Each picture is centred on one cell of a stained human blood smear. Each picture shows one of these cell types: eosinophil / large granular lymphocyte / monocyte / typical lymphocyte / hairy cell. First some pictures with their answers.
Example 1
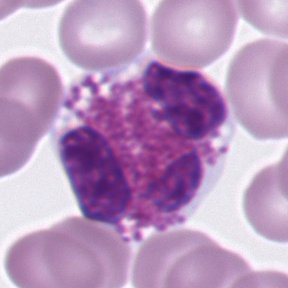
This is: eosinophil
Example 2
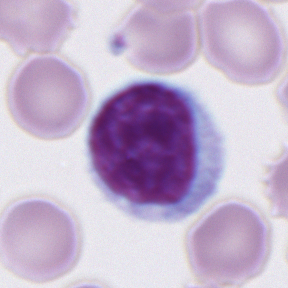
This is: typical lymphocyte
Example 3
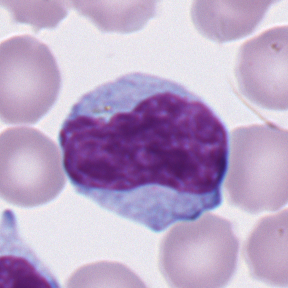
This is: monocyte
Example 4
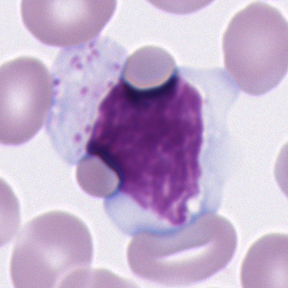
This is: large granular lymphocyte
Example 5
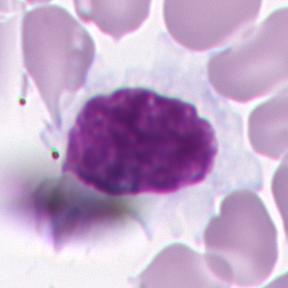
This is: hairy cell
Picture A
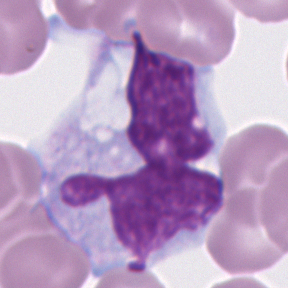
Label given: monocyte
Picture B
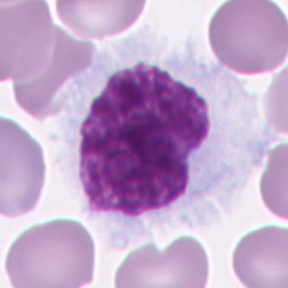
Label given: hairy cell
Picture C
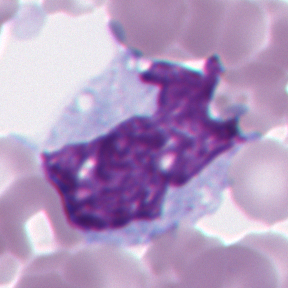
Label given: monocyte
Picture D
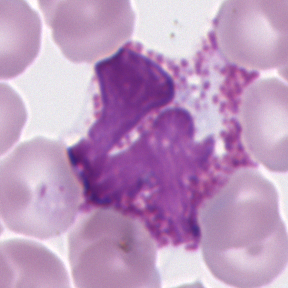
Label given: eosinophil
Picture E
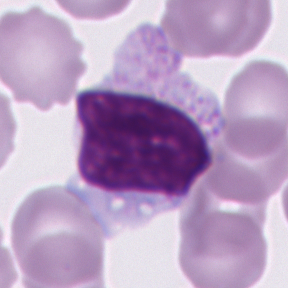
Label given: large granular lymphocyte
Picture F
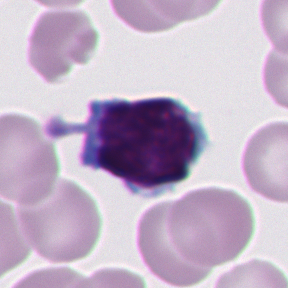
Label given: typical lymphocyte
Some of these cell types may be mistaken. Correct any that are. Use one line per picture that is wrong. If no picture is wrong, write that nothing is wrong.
All correct.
